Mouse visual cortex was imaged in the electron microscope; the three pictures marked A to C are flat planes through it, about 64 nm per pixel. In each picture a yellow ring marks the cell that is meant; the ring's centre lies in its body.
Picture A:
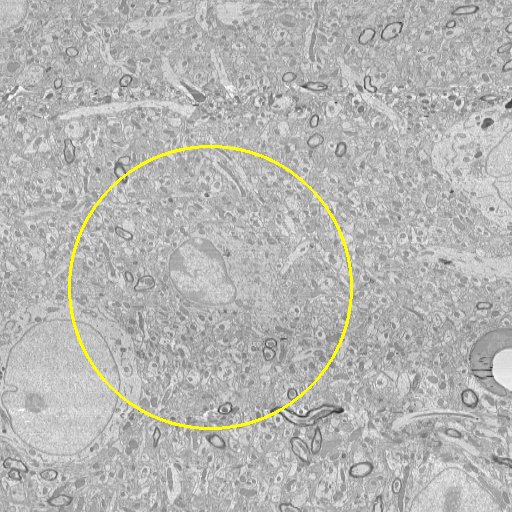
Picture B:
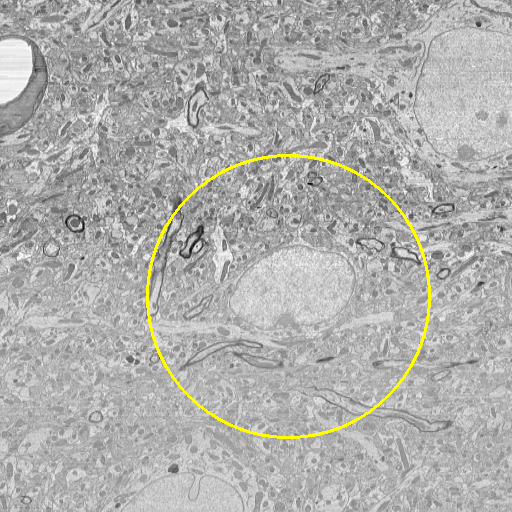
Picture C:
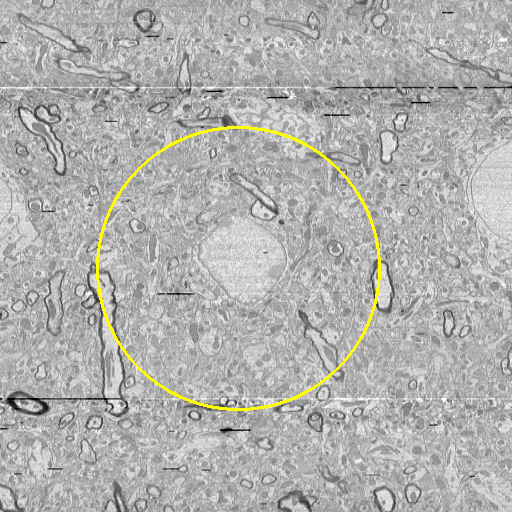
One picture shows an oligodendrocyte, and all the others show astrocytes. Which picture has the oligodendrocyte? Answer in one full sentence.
Picture A is the one that shows the oligodendrocyte.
